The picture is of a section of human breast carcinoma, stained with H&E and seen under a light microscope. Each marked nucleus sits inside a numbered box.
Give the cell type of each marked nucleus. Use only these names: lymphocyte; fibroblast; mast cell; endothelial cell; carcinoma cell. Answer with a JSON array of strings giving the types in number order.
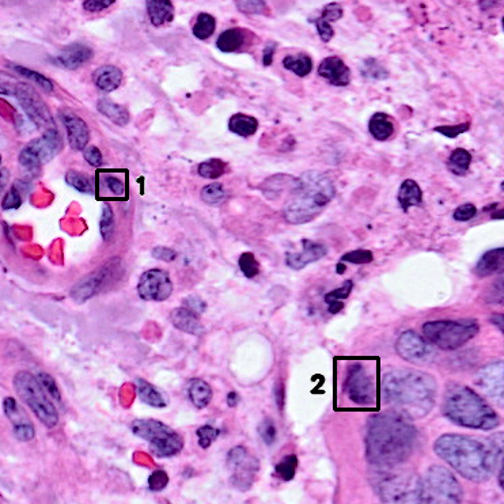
["endothelial cell", "carcinoma cell"]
